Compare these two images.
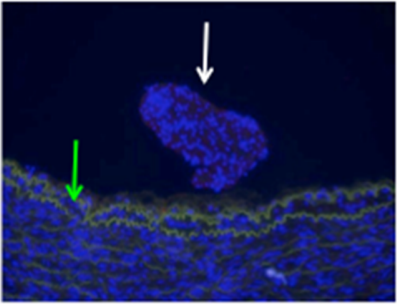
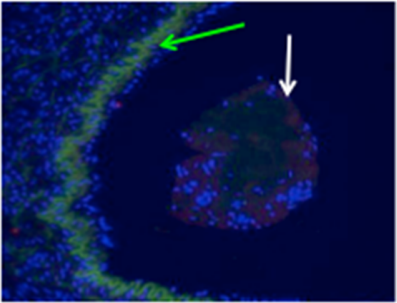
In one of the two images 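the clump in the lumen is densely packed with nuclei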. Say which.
The first image.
